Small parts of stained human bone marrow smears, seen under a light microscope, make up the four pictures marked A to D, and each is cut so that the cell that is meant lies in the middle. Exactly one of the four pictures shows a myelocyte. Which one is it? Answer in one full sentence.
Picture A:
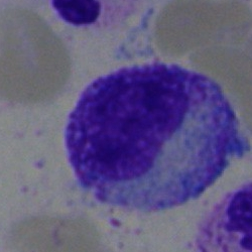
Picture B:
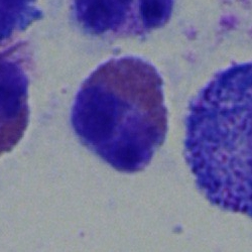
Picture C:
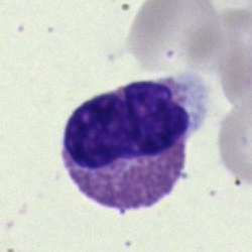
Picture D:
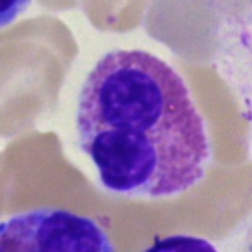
It is picture A that shows the myelocyte.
